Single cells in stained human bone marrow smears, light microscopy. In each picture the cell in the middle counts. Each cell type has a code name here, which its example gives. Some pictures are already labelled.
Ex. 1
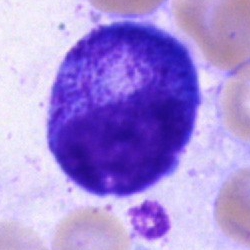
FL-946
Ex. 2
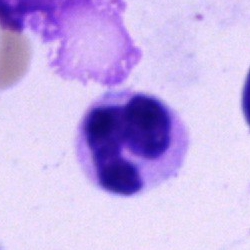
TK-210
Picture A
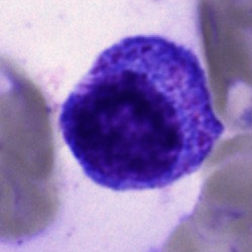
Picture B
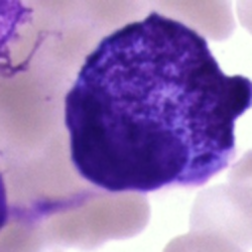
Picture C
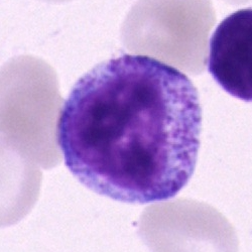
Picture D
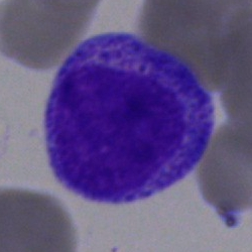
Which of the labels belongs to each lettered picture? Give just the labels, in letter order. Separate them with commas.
FL-946, FL-946, FL-946, FL-946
